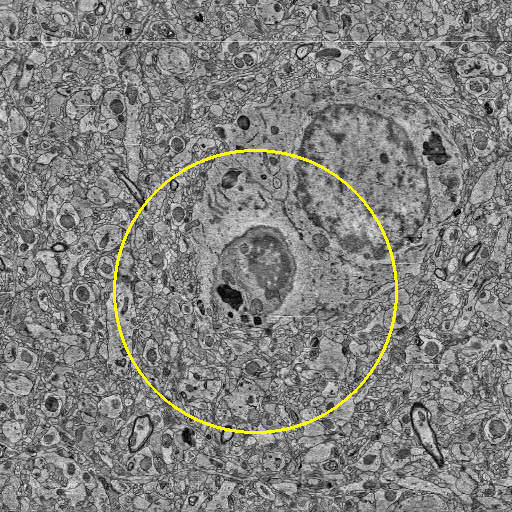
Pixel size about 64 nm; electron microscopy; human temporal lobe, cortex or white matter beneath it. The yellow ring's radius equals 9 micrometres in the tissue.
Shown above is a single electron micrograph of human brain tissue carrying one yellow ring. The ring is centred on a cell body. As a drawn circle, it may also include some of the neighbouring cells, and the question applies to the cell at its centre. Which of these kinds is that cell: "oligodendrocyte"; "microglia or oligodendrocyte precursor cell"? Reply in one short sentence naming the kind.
The cell marked by the ring is an oligodendrocyte.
